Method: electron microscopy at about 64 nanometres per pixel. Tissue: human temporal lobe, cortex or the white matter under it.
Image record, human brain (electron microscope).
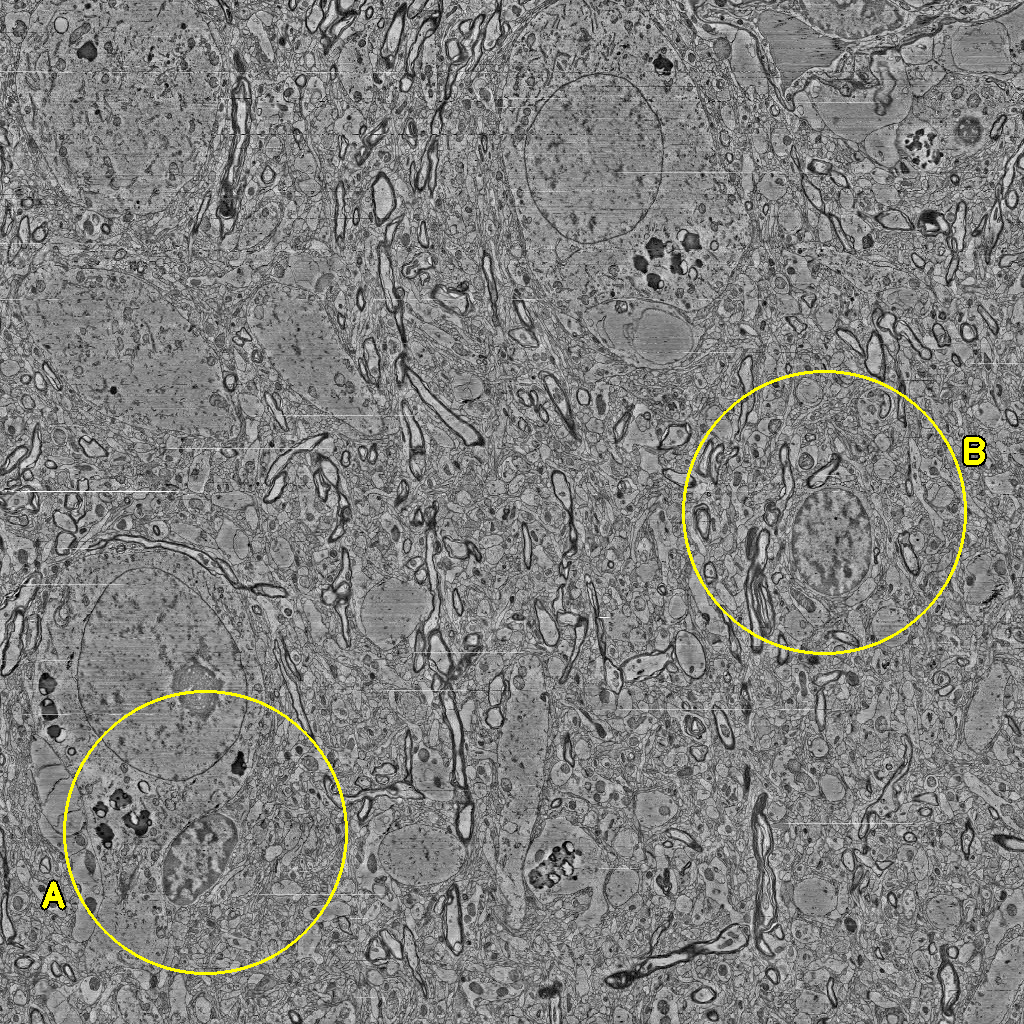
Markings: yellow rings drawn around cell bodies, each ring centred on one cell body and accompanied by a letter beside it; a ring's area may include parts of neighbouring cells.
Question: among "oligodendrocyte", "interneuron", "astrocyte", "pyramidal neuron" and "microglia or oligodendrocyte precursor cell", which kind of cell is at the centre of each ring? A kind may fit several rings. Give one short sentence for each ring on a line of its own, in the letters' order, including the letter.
Ring A is centred on the cell body of a microglial cell or oligodendrocyte precursor cell.
Ring B is centred on the cell body of an oligodendrocyte.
